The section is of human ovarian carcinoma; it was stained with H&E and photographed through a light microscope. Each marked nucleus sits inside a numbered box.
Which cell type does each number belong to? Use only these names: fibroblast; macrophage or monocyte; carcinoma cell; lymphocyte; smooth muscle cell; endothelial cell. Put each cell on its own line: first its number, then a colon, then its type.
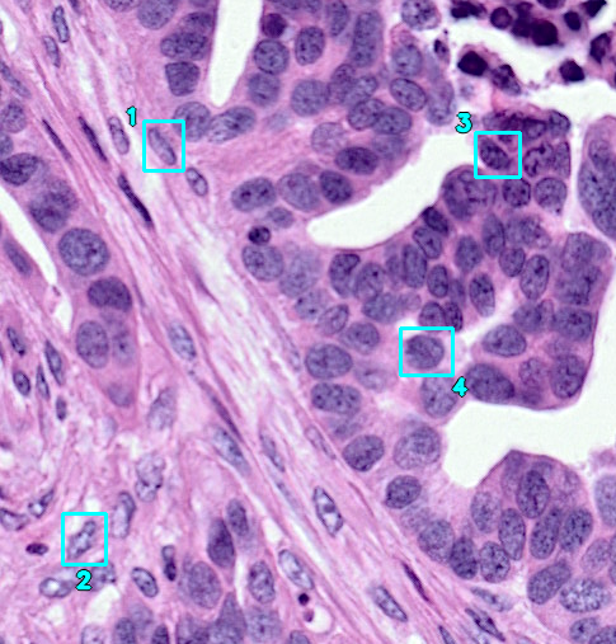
1: fibroblast
2: fibroblast
3: carcinoma cell
4: carcinoma cell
